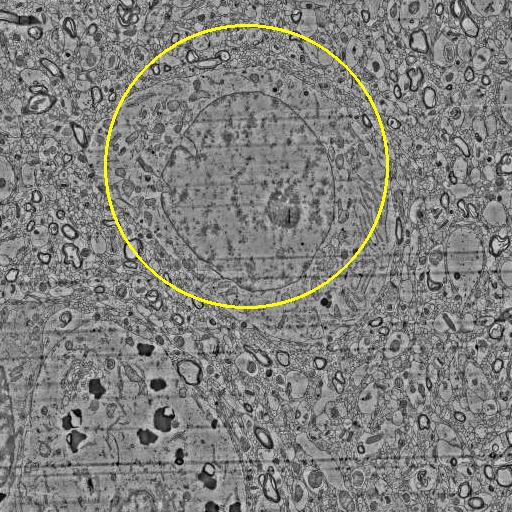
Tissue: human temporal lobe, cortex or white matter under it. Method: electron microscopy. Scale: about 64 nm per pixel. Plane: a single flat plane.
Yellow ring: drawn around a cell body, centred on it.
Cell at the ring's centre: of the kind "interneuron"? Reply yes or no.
yes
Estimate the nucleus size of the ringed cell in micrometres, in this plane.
Approximately 13 by 11 micrometers in this plane.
